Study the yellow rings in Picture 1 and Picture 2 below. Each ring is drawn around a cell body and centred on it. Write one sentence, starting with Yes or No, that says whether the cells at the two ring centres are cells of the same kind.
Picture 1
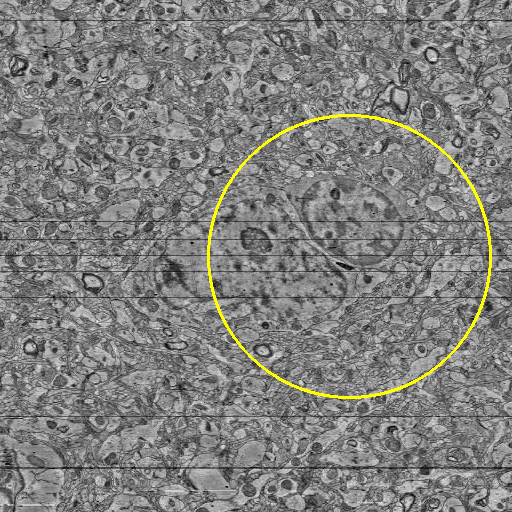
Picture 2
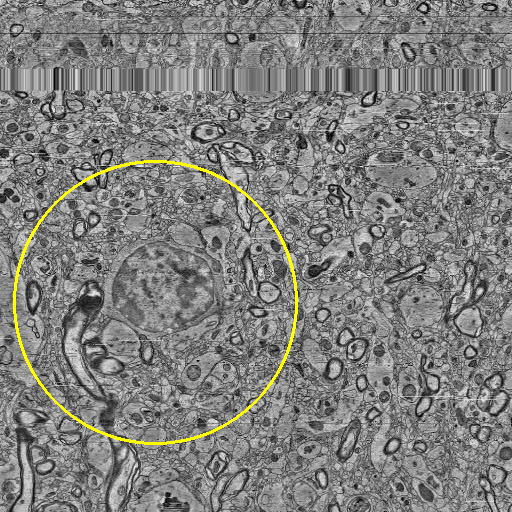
Yes, the cells at both ring centres are of the same kind.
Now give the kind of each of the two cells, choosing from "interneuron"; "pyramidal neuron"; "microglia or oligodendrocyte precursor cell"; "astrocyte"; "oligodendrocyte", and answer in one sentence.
In each of the two pictures, the ringed cell is an oligodendrocyte.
